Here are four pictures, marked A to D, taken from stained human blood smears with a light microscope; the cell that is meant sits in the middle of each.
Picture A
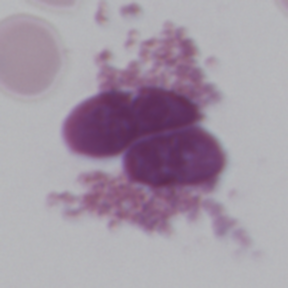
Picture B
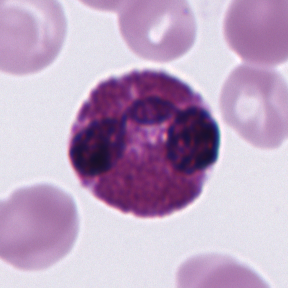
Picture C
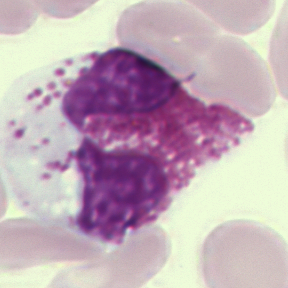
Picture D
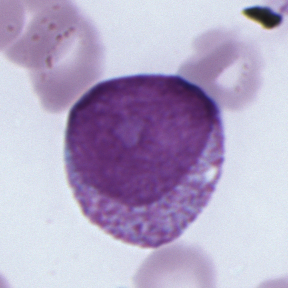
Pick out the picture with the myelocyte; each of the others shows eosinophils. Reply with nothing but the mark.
D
